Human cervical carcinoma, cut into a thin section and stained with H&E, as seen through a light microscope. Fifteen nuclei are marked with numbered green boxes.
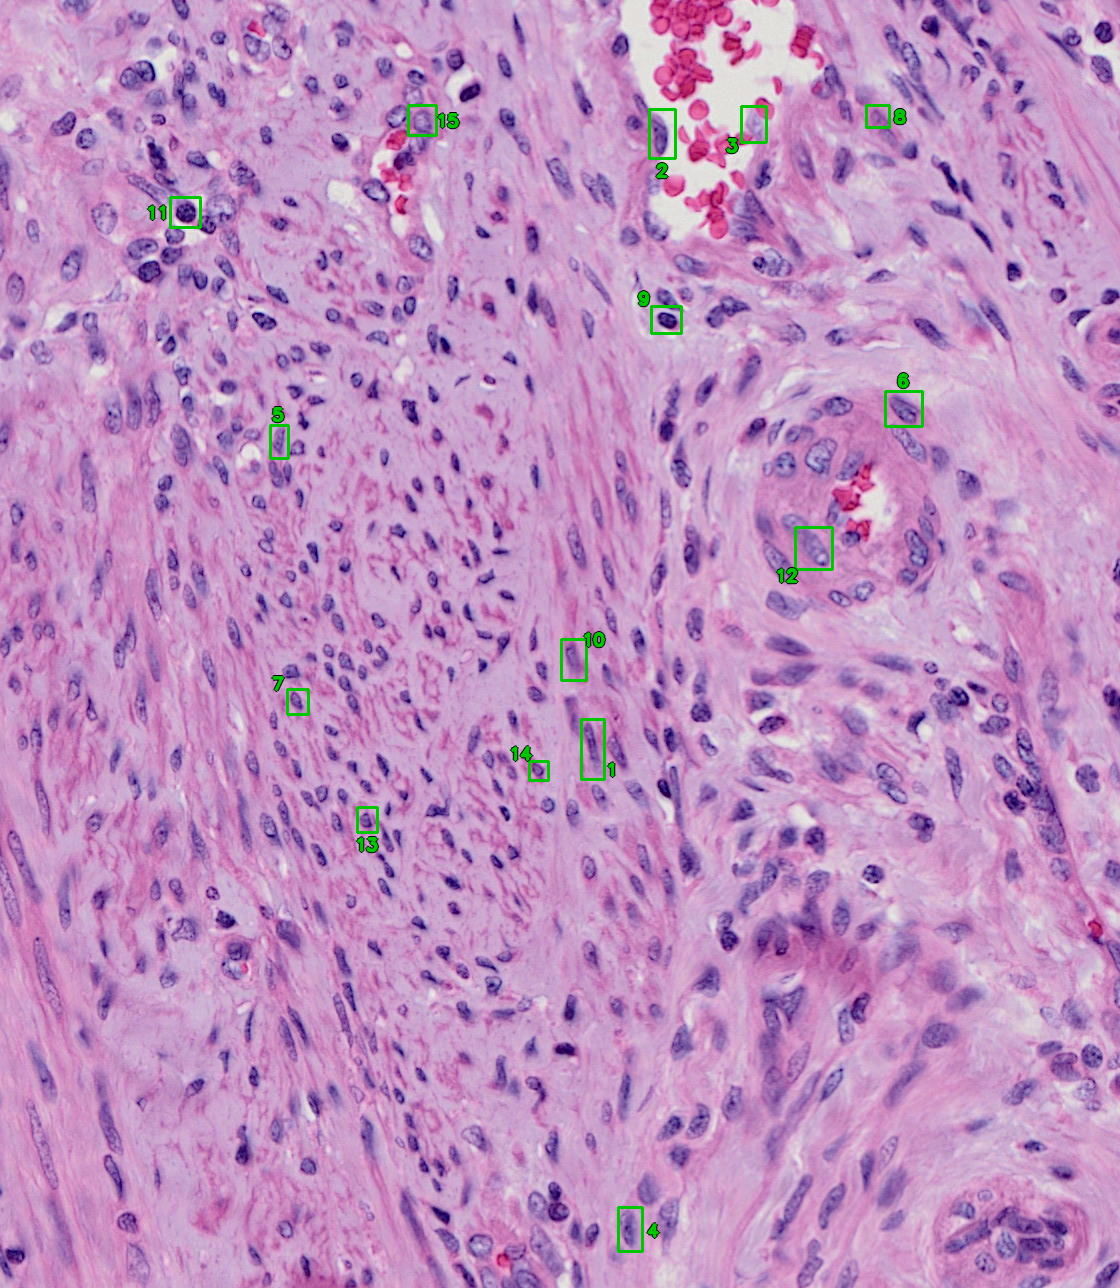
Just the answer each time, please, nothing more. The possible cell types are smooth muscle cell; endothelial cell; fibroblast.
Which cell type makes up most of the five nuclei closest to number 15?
endothelial cell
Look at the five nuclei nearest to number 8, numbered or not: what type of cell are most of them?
endothelial cell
